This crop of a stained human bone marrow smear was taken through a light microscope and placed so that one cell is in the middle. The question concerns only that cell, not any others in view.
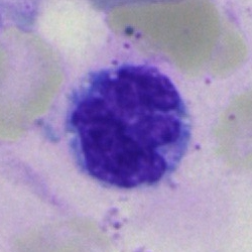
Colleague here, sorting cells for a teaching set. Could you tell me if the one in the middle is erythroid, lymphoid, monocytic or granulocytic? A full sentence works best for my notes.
The lineage of the central cell is the monocytic lineage.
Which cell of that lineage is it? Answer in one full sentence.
The cell positioned in the middle of the field is a monocyte.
